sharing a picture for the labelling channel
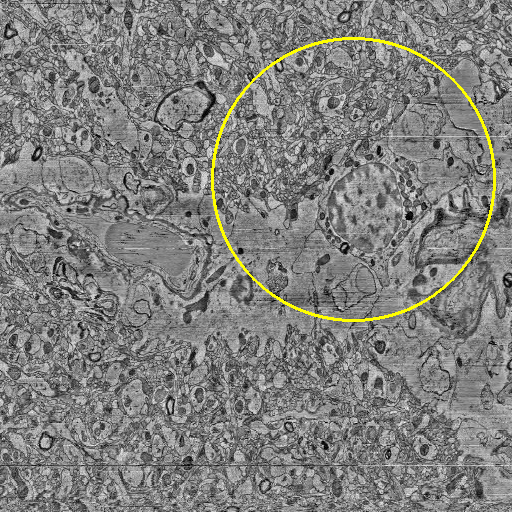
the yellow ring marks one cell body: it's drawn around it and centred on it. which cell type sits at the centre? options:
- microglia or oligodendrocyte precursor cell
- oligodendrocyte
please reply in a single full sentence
In the picture, the cell at the ring's centre is a microglial cell or oligodendrocyte precursor cell, going by the list.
